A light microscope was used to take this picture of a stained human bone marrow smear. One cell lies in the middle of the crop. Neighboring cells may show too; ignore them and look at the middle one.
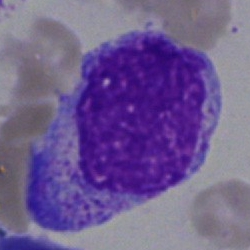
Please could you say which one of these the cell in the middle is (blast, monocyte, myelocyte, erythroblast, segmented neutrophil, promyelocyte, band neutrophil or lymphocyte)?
promyelocyte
